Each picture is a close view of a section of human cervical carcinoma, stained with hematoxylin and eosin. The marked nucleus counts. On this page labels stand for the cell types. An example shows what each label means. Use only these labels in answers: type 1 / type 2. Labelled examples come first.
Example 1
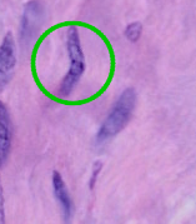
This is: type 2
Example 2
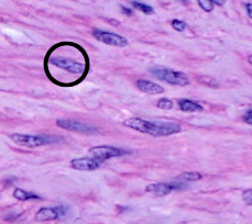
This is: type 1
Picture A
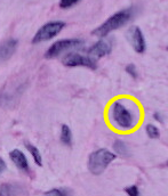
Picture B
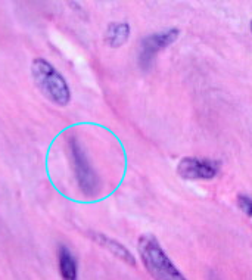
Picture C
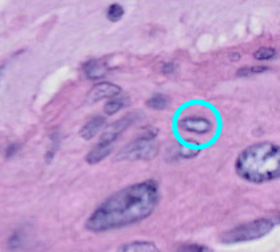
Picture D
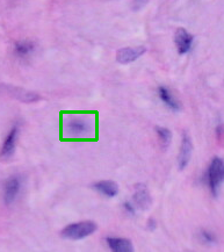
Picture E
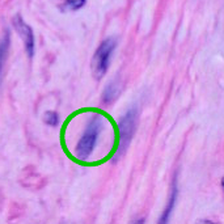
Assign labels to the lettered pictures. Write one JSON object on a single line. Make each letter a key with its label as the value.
{"A": "type 2", "B": "type 2", "C": "type 1", "D": "type 2", "E": "type 1"}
